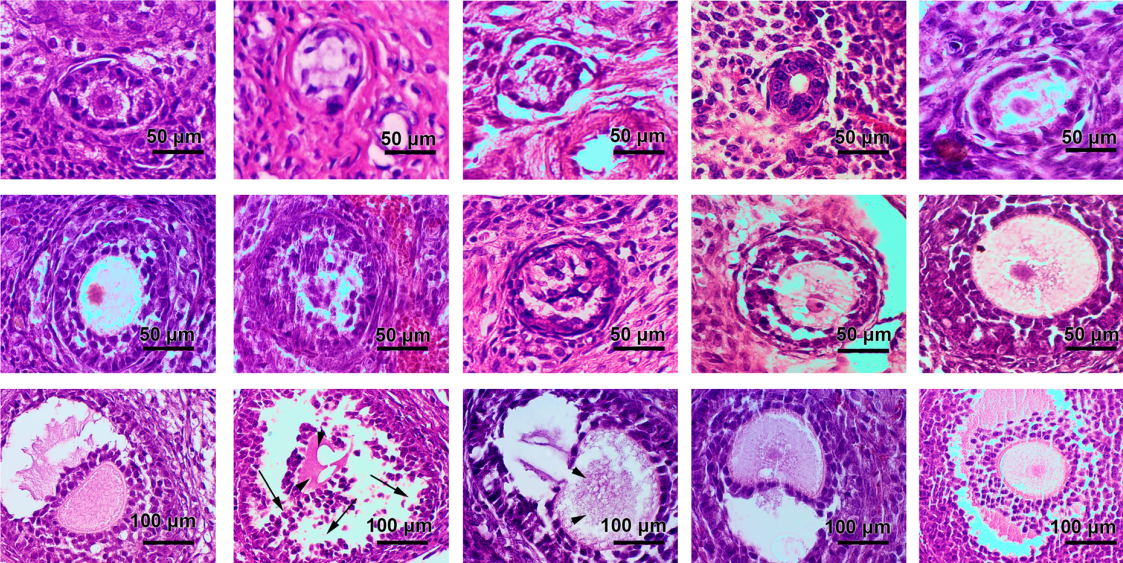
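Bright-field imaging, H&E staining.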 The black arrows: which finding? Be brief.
detached granulosa cells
